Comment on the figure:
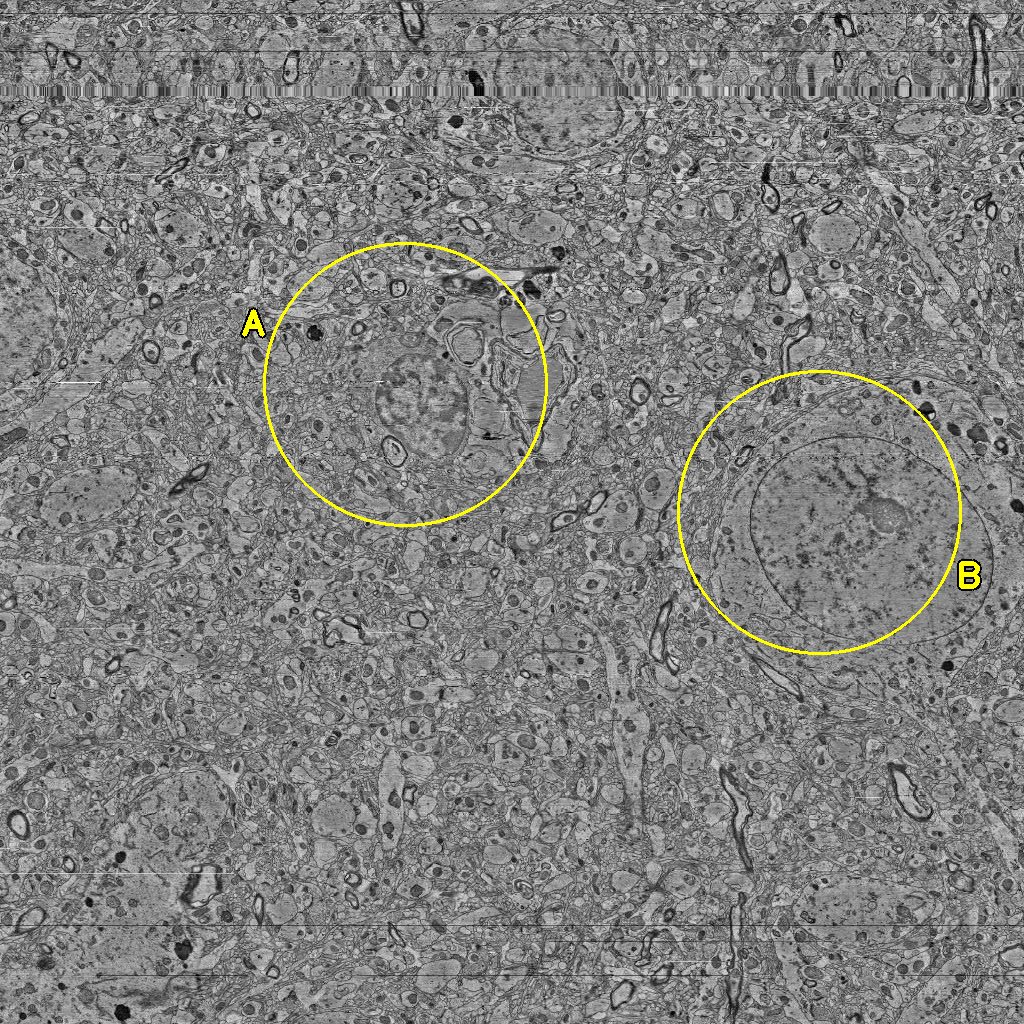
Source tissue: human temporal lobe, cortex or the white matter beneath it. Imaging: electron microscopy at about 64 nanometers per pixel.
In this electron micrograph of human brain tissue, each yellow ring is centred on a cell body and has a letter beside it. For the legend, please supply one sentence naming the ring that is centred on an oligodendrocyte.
Ring A is centred on that cell.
